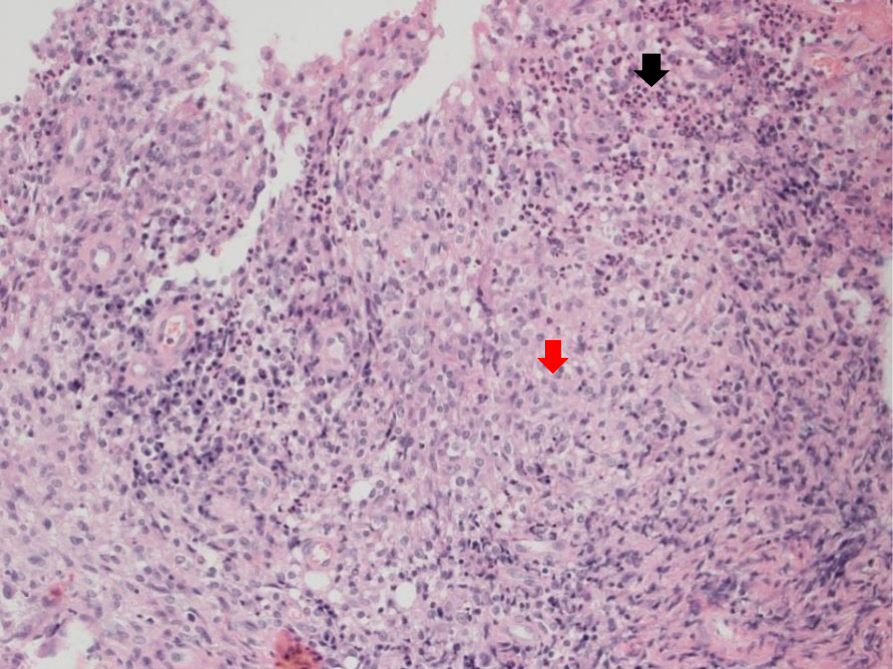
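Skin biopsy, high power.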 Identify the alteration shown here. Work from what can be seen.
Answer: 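A dense inflammatory infiltrate fills the tissue. There are aggregates of pale pink cells with oval nuclei, bordered by smaller dark round cells.
Answer: granulomatous inflammation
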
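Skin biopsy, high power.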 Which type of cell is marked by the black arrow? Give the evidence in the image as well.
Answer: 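The black arrow points to a cluster of small cells with dark, segmented or lobed nuclei. These cells are crowded together near the upper edge of the tissue.
Hence: neutrophils.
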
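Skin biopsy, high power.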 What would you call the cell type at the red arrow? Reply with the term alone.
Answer: histiocytes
